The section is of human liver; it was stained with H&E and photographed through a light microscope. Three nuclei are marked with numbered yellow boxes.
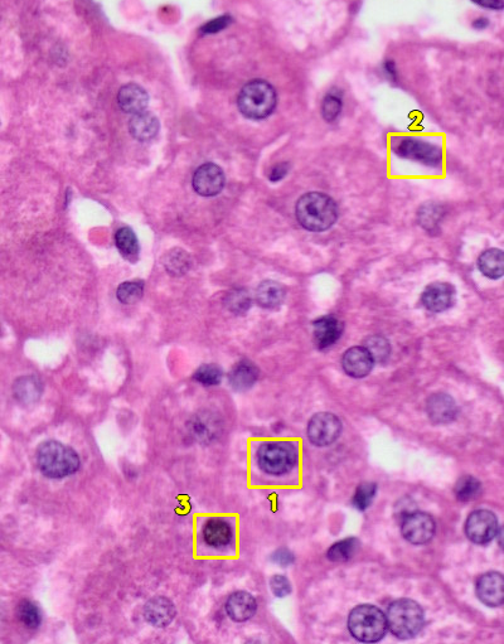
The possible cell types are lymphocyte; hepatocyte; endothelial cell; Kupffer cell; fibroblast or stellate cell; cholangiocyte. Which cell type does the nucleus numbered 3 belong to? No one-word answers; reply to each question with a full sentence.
The cell indicated by marker 3 is a hepatocyte in this section.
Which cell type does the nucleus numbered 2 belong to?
The cell with the number 2 is a Kupffer cell.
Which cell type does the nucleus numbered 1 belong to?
The cell tagged with 1 in this tissue section is a hepatocyte.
